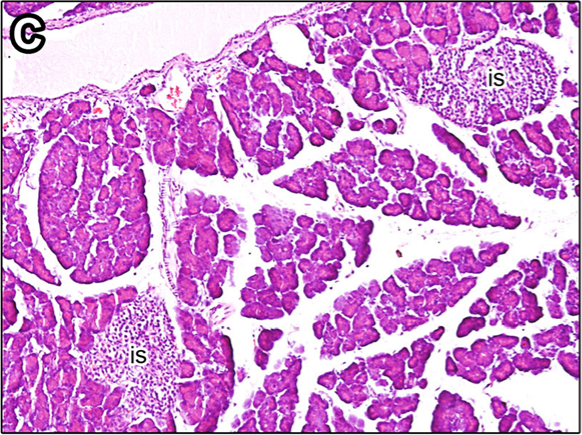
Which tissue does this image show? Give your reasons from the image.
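Lobules of dark purple acinar tissue divided by pale septa. Pale, loosely textured cell clusters embedded among the acini. So: pancreatic tissue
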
